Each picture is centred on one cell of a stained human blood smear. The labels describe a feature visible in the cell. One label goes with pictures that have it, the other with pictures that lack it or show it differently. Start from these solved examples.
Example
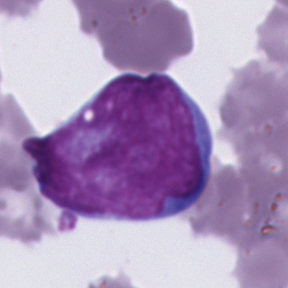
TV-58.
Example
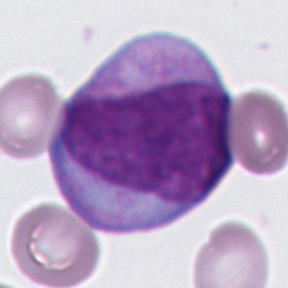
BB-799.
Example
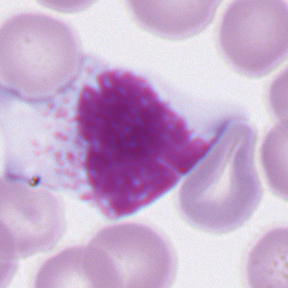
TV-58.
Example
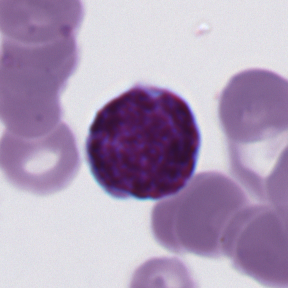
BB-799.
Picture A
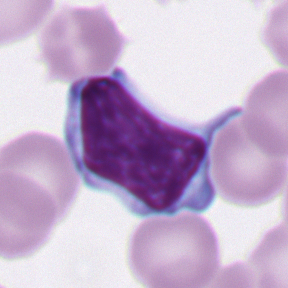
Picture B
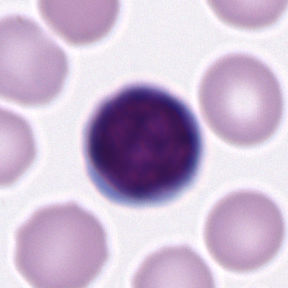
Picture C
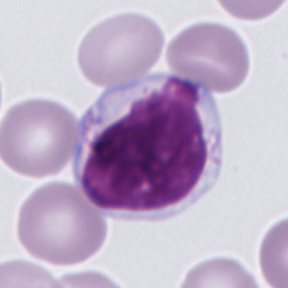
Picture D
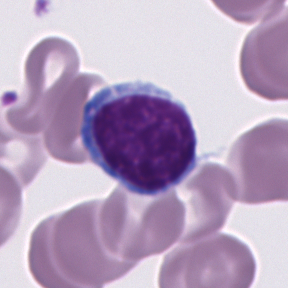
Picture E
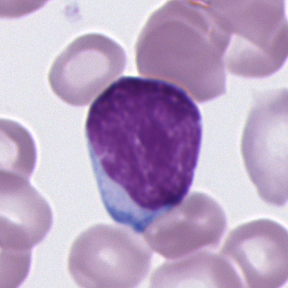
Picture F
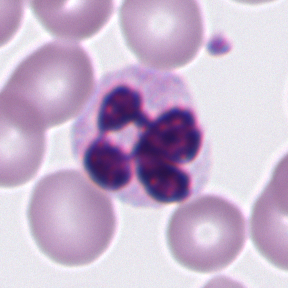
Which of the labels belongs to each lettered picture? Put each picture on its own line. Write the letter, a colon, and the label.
A: TV-58.
B: BB-799.
C: BB-799.
D: TV-58.
E: BB-799.
F: BB-799.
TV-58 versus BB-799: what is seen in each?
In TV-58: ragged outline or projections. In BB-799: smooth outline.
